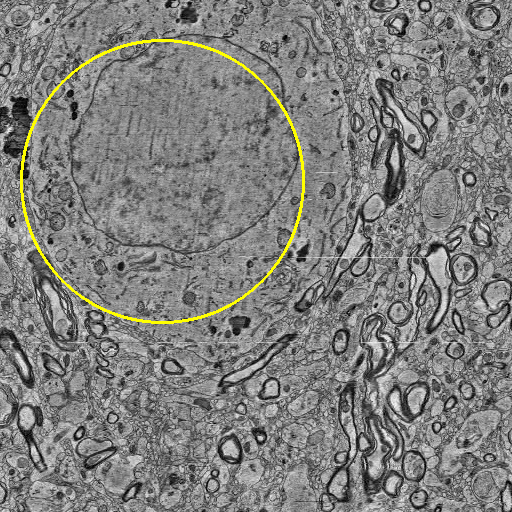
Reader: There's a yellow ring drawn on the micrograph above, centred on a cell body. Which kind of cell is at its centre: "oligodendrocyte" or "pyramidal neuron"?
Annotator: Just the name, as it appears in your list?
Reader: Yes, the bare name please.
pyramidal neuron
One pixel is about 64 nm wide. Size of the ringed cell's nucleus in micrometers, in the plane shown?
The nucleus is about 15 micrometres across in this plane.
